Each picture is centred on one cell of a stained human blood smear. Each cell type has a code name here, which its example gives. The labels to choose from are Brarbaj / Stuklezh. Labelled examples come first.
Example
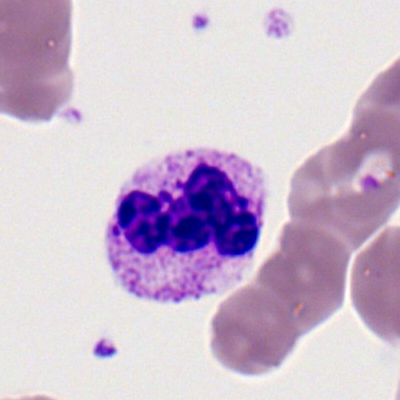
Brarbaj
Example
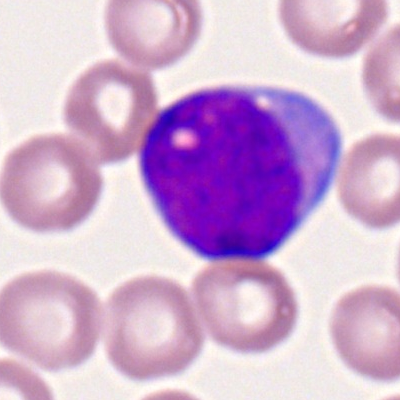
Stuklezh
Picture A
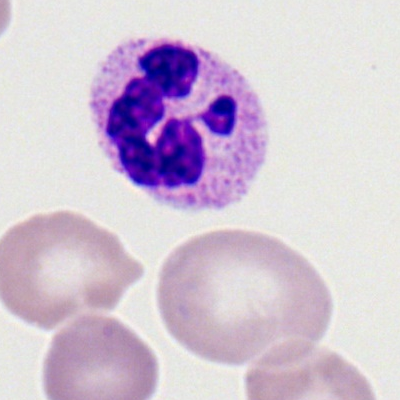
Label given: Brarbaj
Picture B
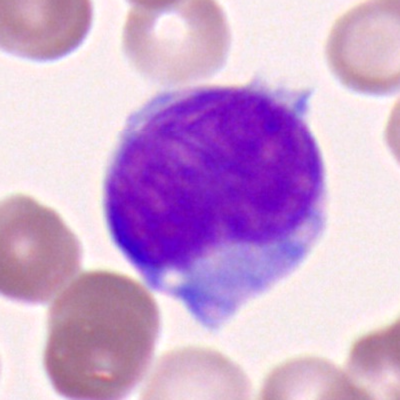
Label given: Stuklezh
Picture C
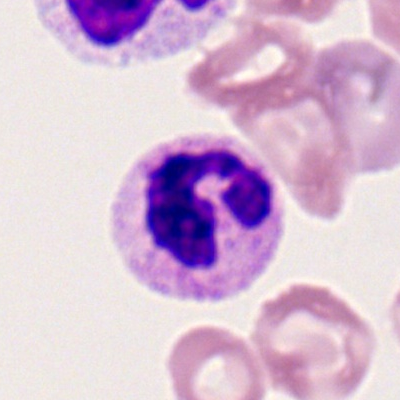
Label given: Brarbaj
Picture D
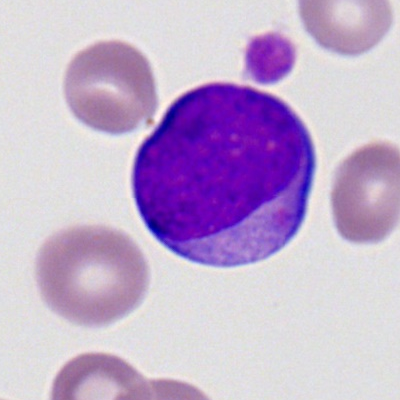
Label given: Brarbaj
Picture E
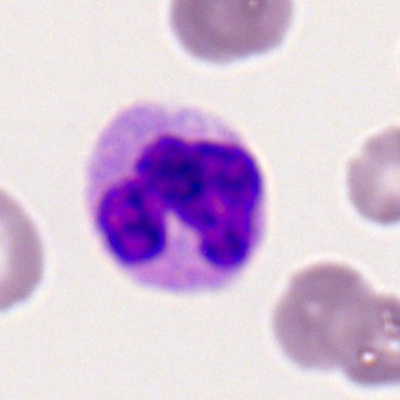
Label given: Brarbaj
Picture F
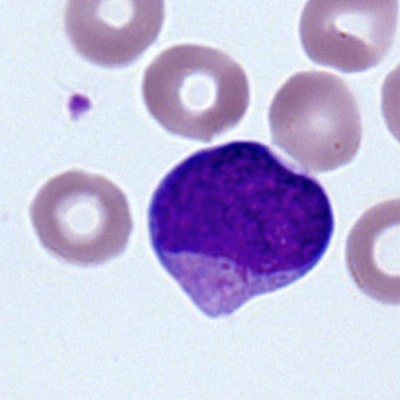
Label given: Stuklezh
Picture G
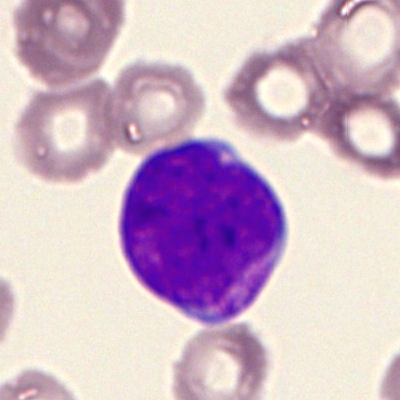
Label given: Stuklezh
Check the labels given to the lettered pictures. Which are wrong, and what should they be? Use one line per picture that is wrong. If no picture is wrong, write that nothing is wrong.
D: Stuklezh, not Brarbaj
